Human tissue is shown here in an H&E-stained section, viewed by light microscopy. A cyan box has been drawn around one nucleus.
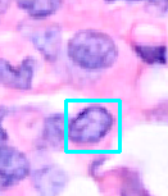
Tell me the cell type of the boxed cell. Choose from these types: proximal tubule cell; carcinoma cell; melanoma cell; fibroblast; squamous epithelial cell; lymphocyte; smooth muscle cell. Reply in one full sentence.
The boxed cell is a carcinoma cell.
